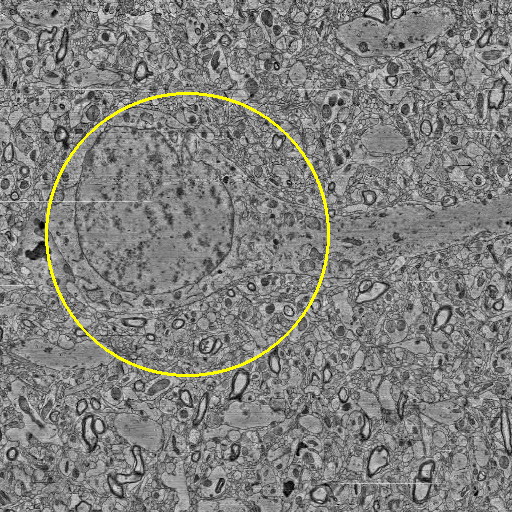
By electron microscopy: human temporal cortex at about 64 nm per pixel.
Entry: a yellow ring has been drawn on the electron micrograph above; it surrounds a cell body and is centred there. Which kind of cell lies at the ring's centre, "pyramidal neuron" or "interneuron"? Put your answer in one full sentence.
The cell sitting at the ring's centre is a pyramidal neuron in the micrograph above.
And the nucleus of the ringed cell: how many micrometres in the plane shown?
Approximately 12 micrometres long and 10 micrometres wide, in this plane.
